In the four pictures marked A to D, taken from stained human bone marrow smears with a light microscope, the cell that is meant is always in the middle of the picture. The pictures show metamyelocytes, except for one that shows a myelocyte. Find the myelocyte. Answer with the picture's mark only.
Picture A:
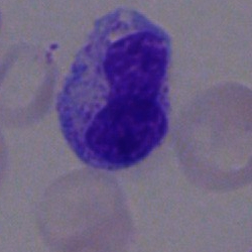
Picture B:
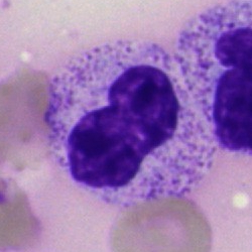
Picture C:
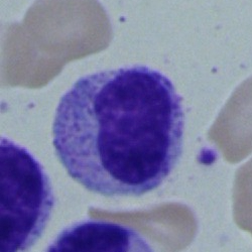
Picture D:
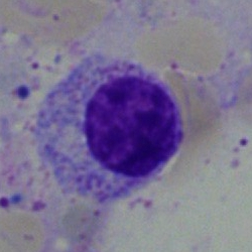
D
